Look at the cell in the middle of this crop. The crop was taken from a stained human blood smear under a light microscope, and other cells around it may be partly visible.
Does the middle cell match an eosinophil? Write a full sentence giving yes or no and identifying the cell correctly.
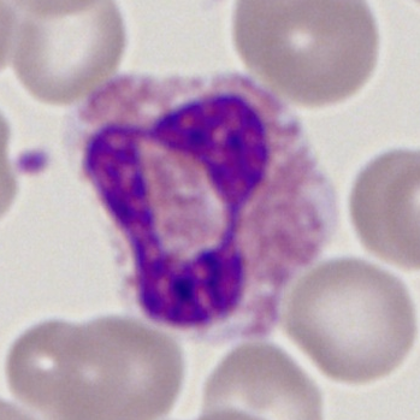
Yes, the centre of the crop holds an eosinophil.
